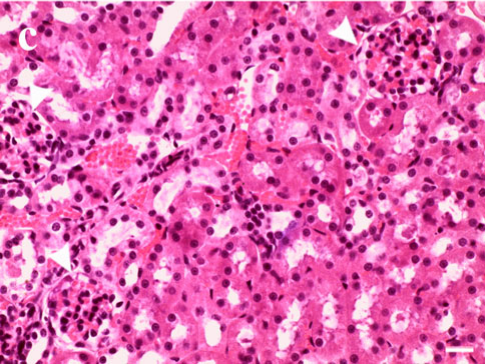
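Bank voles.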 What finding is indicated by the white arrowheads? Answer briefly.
glomerular swelling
